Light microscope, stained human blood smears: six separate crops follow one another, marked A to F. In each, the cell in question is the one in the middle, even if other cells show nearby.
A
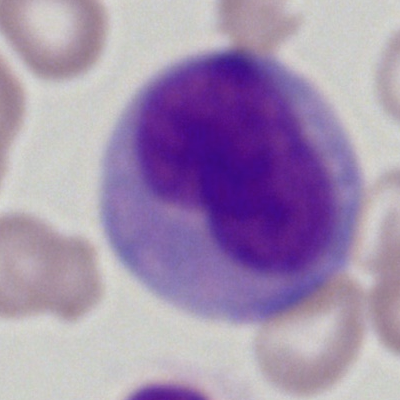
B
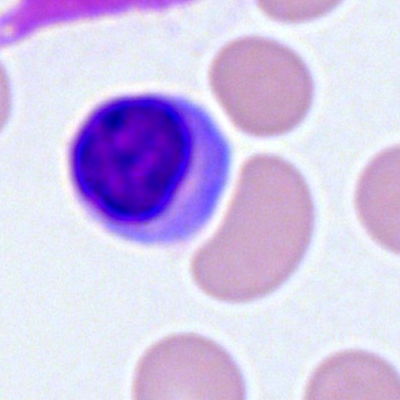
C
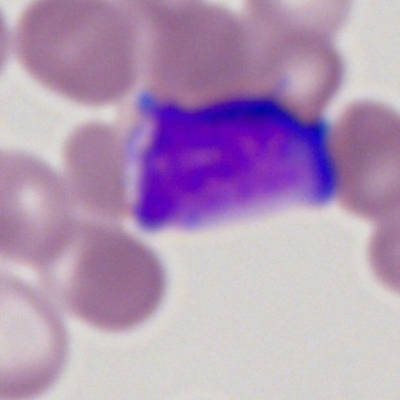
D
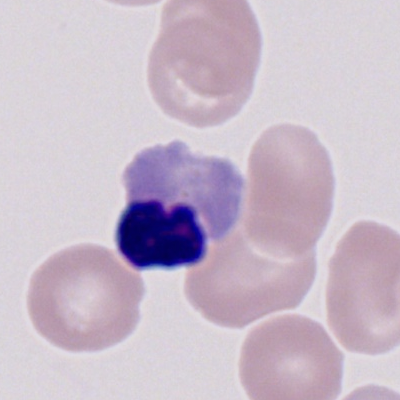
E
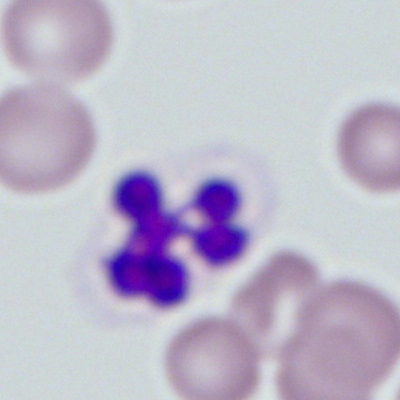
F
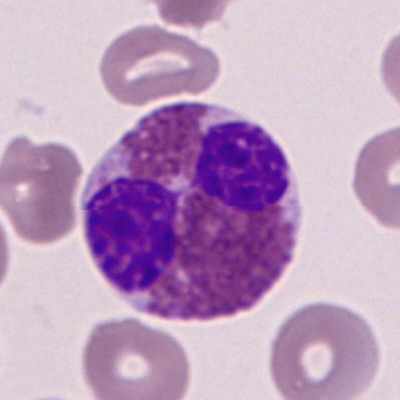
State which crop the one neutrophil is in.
E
